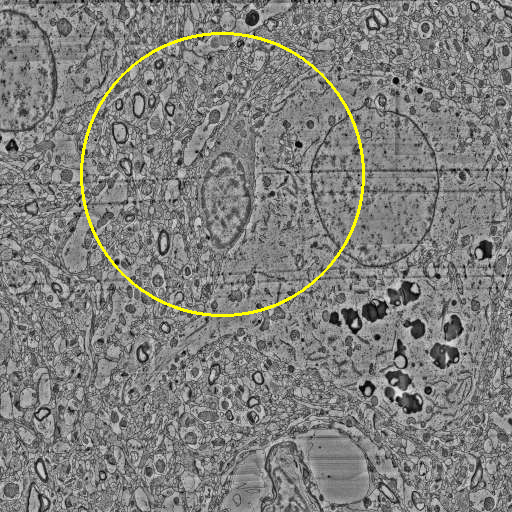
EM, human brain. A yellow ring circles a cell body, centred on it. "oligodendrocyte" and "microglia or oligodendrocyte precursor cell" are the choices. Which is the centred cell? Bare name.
oligodendrocyte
